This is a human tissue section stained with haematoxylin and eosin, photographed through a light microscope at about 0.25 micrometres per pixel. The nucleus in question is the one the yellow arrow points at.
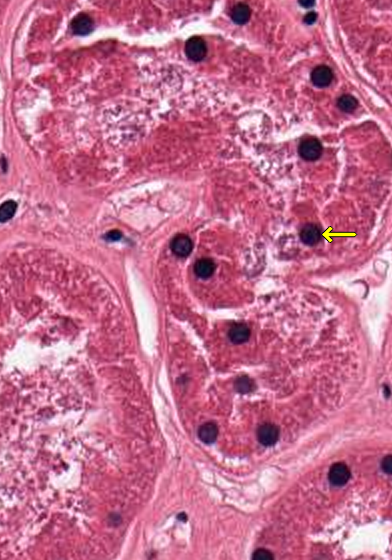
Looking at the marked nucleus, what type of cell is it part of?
proximal tubule cell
